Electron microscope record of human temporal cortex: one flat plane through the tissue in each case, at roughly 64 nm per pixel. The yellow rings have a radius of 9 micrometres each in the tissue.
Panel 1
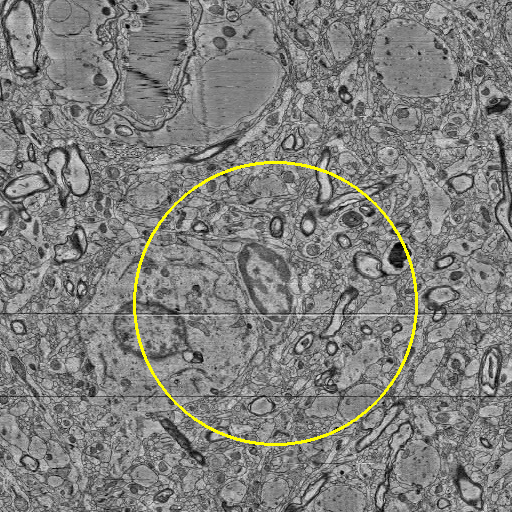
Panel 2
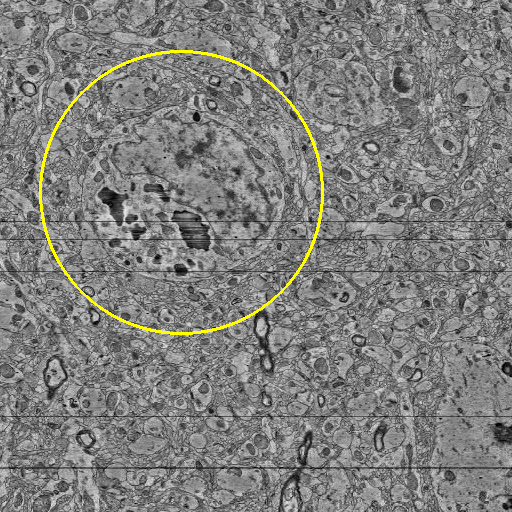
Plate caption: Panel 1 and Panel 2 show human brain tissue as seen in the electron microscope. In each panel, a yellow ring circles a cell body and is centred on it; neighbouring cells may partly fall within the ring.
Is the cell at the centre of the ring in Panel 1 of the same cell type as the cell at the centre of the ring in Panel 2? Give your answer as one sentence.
No, the two cells are of two types.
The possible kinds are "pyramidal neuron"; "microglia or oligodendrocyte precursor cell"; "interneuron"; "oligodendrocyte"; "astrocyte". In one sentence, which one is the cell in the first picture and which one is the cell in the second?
The cell ringed in the second picture is an interneuron, whereas the one ringed in the first is a microglial cell or oligodendrocyte precursor cell.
